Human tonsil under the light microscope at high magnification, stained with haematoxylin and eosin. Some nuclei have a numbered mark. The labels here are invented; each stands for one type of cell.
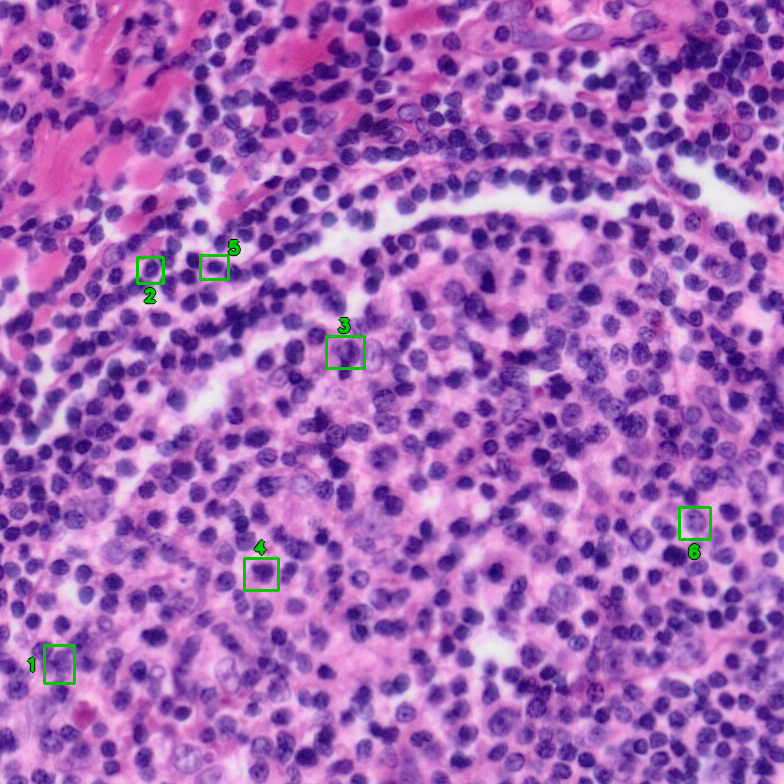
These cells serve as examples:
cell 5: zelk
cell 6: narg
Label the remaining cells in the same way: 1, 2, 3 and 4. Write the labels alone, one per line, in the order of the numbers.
narg
zelk
narg
narg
